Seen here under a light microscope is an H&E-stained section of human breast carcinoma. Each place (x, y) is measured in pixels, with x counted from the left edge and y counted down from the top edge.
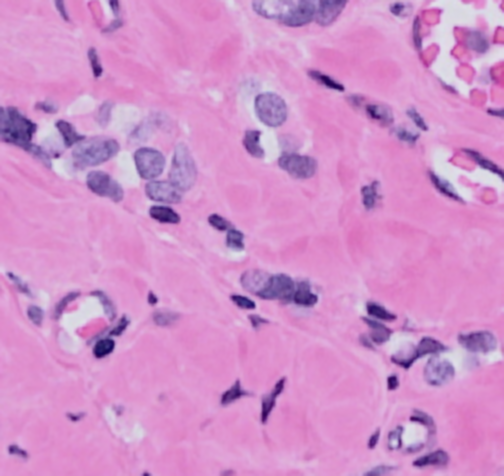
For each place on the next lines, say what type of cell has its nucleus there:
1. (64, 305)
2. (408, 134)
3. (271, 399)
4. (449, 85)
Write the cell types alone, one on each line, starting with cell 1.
endothelial cell
endothelial cell
fibroblast
endothelial cell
